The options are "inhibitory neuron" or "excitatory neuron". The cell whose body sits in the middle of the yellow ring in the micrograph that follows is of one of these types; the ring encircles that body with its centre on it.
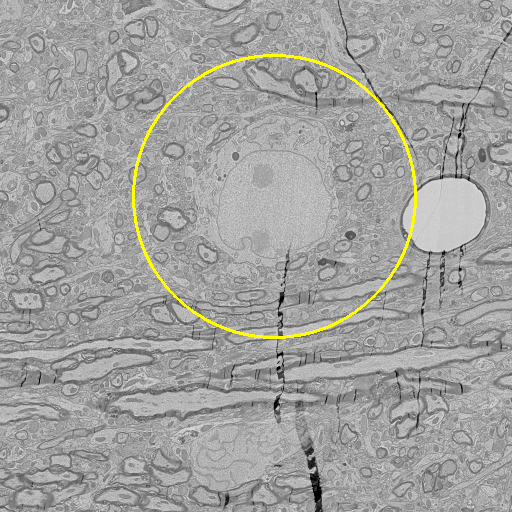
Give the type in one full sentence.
Going by the micrograph, the cell centred in the yellow ring is an excitatory neuron.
